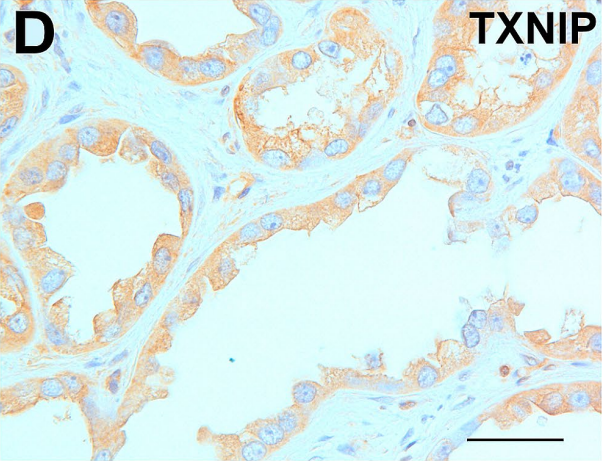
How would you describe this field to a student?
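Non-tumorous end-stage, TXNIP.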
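Several widened lumina are lined by a single layer of cuboidal epithelial cells with round pale-blue nuclei, and their cytoplasm and cell borders are stained strongly brown, with brown frayed material at the luminal surface. Thin bands of pale fibrous stroma with scattered small nuclei lie between them. These are kidney tubules whose lining cells are stained in cytoplasm and membrane.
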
